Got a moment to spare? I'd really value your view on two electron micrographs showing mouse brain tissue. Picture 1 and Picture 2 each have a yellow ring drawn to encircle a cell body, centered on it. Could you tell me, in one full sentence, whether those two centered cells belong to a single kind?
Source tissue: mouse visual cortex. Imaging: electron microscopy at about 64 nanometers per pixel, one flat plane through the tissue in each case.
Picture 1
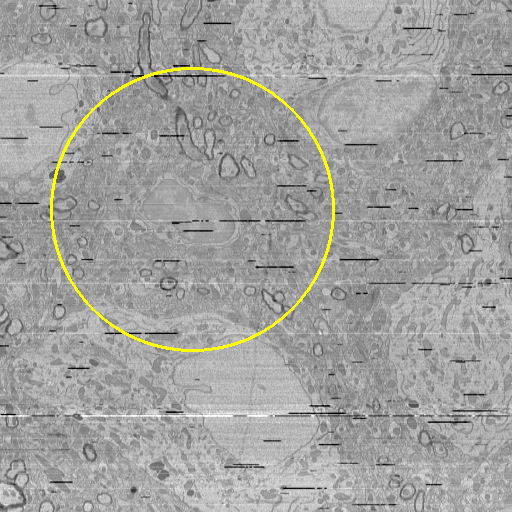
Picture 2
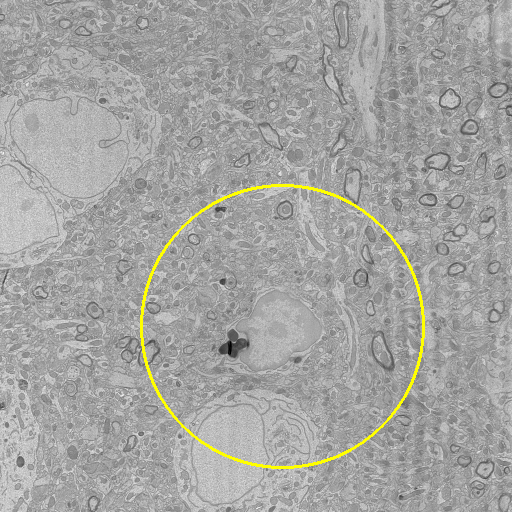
Yes, the two centered cells in Picture 1 and Picture 2 are of a single kind.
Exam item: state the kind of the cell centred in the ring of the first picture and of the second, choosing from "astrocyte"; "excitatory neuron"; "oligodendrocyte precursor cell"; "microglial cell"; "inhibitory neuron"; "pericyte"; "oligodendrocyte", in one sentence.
Each of the ringed cells, first and second, is a microglial cell.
